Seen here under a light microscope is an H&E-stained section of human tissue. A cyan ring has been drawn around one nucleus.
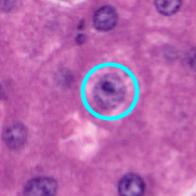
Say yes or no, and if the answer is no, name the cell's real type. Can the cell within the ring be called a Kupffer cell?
No, it is a hepatocyte.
